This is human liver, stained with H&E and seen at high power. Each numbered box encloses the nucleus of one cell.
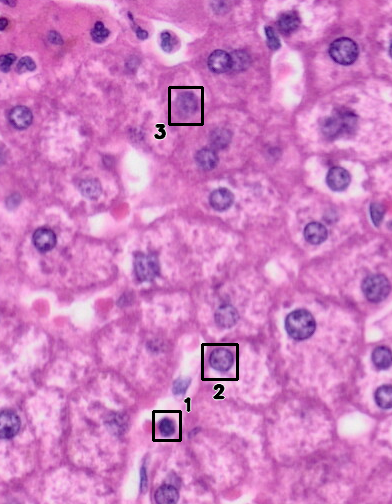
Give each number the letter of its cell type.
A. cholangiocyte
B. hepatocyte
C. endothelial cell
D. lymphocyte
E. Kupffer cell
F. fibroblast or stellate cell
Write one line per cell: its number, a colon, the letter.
1: D
2: B
3: B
